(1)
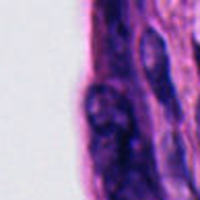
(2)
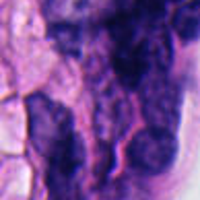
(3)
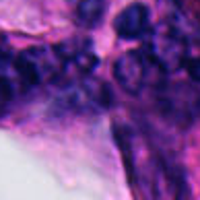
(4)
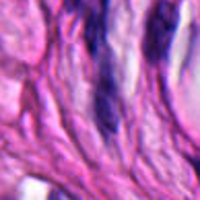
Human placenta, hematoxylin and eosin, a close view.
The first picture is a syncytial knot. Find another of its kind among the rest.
Picture 3.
